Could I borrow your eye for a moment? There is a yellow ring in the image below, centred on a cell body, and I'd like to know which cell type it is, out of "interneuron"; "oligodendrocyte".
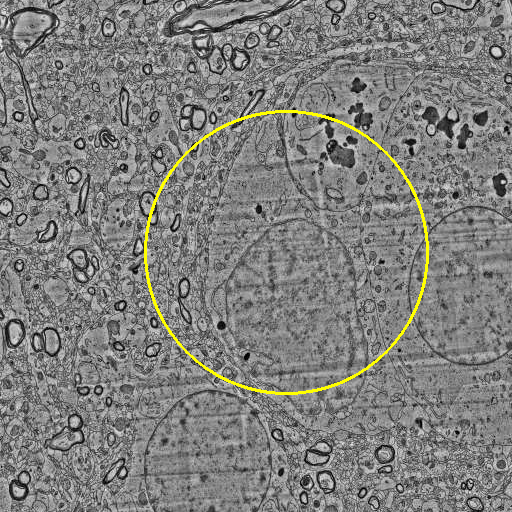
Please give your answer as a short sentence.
The cell body at the centre is that of an interneuron.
